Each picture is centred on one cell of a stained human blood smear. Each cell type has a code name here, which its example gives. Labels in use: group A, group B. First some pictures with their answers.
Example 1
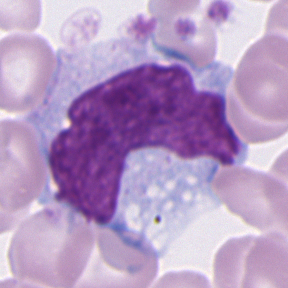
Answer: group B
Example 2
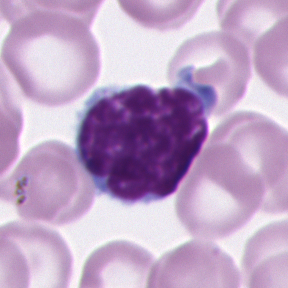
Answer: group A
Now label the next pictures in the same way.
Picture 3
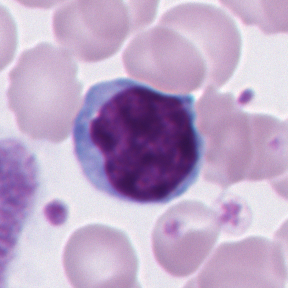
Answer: group A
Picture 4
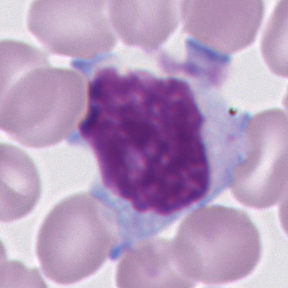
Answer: group A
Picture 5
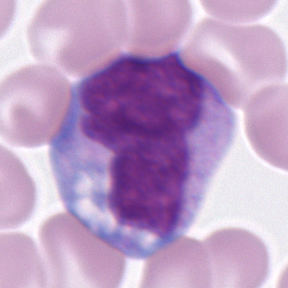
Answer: group B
